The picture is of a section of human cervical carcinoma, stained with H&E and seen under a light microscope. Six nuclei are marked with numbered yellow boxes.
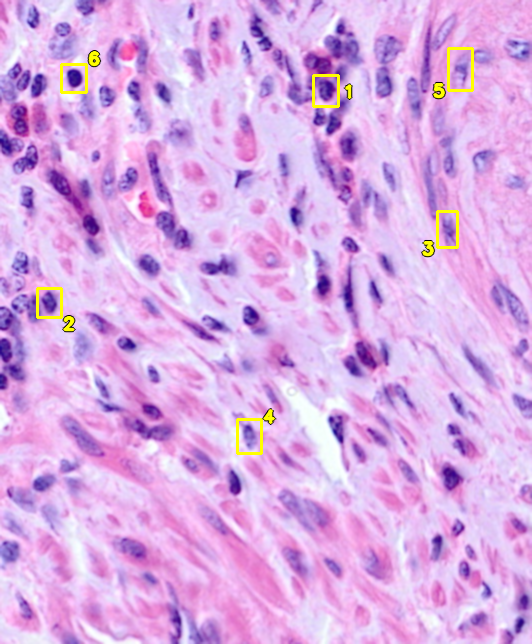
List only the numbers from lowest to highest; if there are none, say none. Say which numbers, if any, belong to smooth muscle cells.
3, 5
